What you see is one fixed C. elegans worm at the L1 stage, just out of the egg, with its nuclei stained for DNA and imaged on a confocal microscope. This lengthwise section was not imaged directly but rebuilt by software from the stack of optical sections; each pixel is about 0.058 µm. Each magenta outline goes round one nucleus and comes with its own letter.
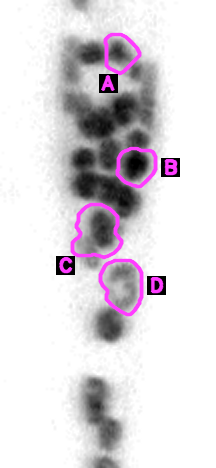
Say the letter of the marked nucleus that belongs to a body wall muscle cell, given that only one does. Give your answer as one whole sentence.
It is C that belongs to a body wall muscle cell.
